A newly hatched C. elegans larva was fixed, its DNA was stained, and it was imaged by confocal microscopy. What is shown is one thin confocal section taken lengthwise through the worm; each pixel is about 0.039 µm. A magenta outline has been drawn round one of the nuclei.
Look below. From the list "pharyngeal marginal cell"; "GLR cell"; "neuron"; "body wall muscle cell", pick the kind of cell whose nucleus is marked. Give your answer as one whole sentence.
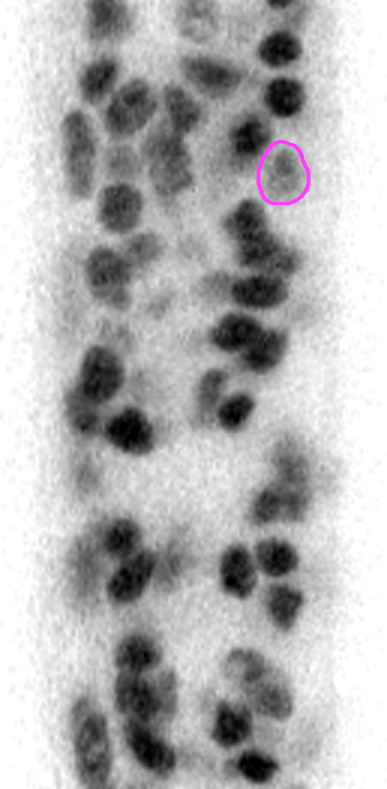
It belongs to a body wall muscle cell.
